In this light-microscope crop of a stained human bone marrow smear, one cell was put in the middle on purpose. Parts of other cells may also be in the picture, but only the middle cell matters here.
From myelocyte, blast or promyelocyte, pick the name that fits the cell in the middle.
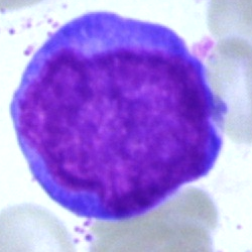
blast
